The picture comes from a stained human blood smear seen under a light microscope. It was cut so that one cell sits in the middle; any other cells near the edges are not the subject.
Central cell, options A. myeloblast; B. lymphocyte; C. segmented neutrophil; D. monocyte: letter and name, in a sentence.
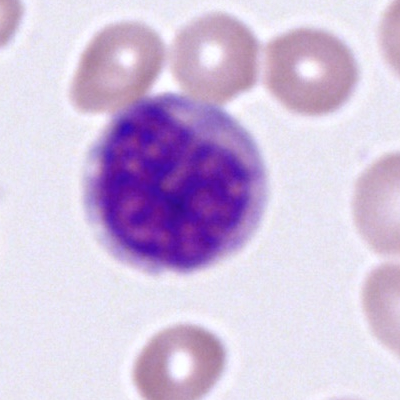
Option D is the correct option, with the middle cell being a monocyte.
